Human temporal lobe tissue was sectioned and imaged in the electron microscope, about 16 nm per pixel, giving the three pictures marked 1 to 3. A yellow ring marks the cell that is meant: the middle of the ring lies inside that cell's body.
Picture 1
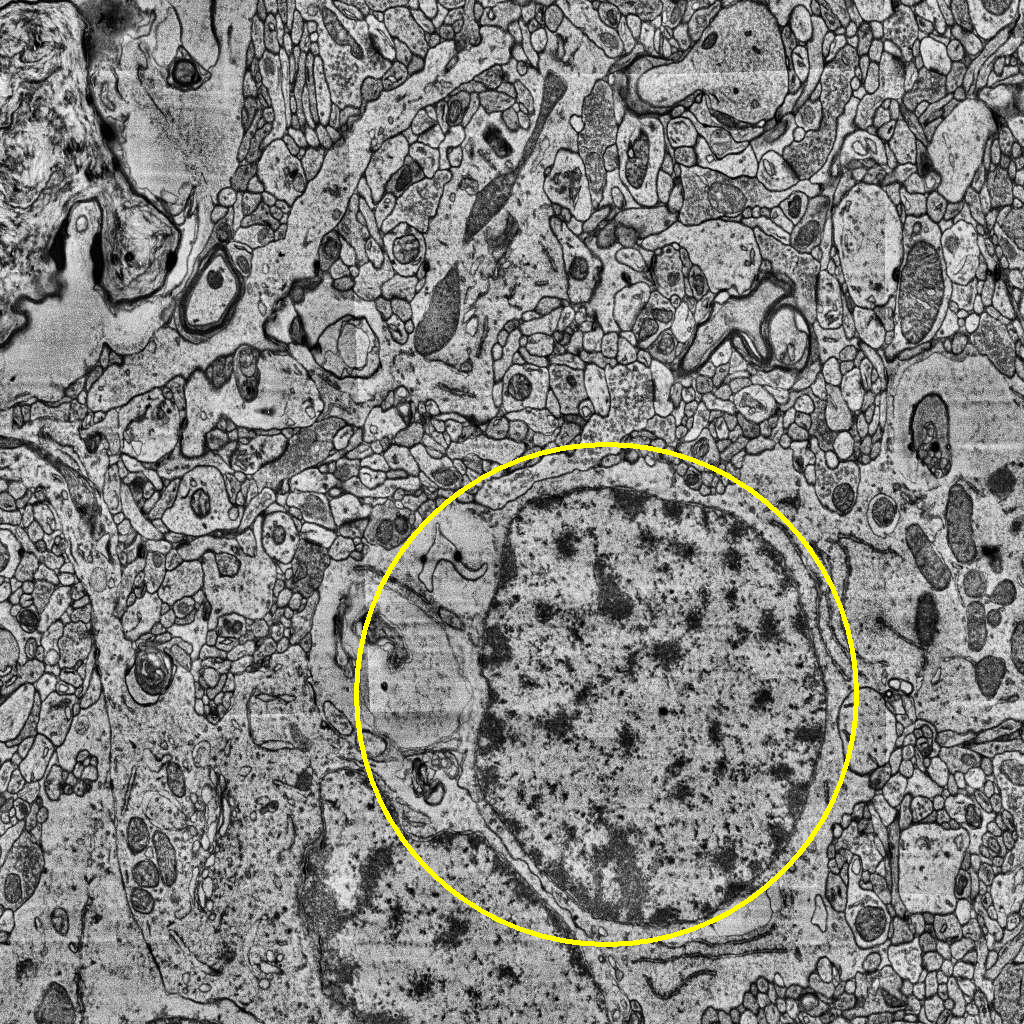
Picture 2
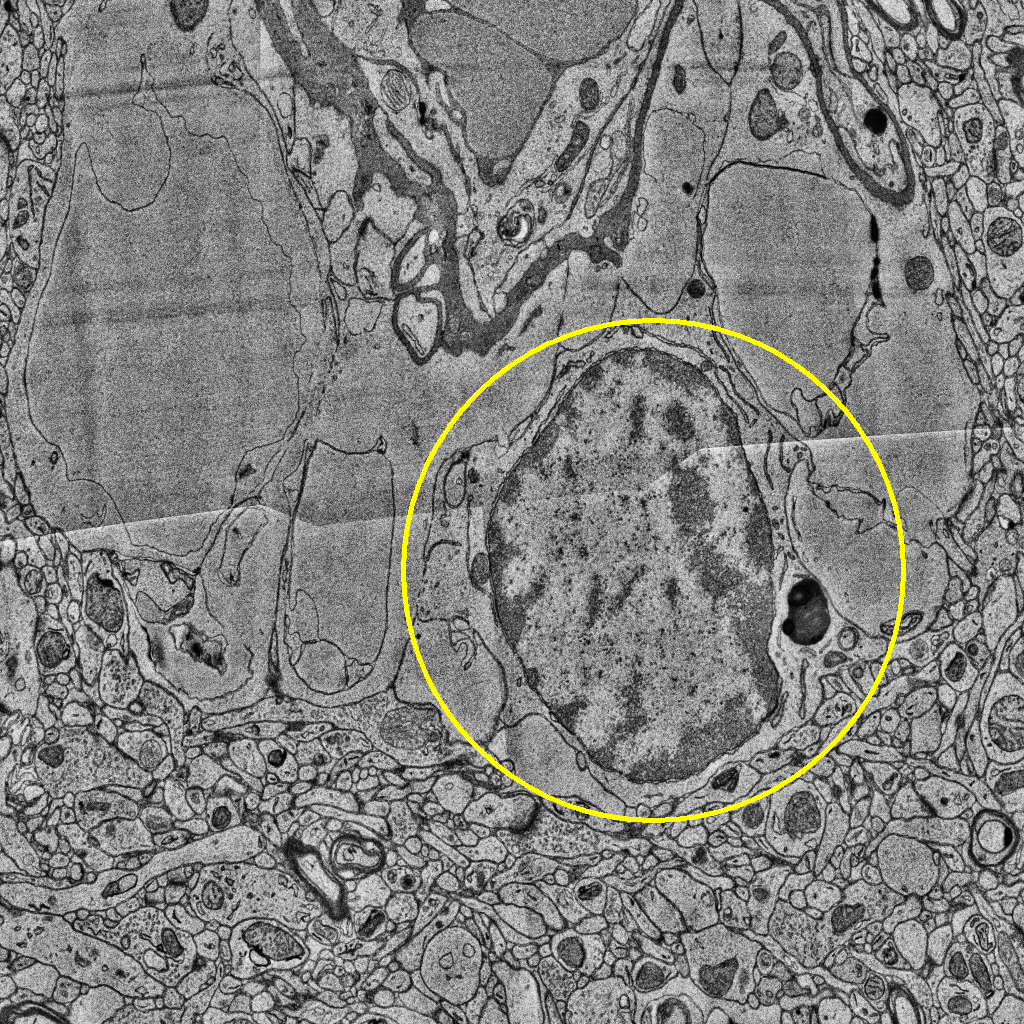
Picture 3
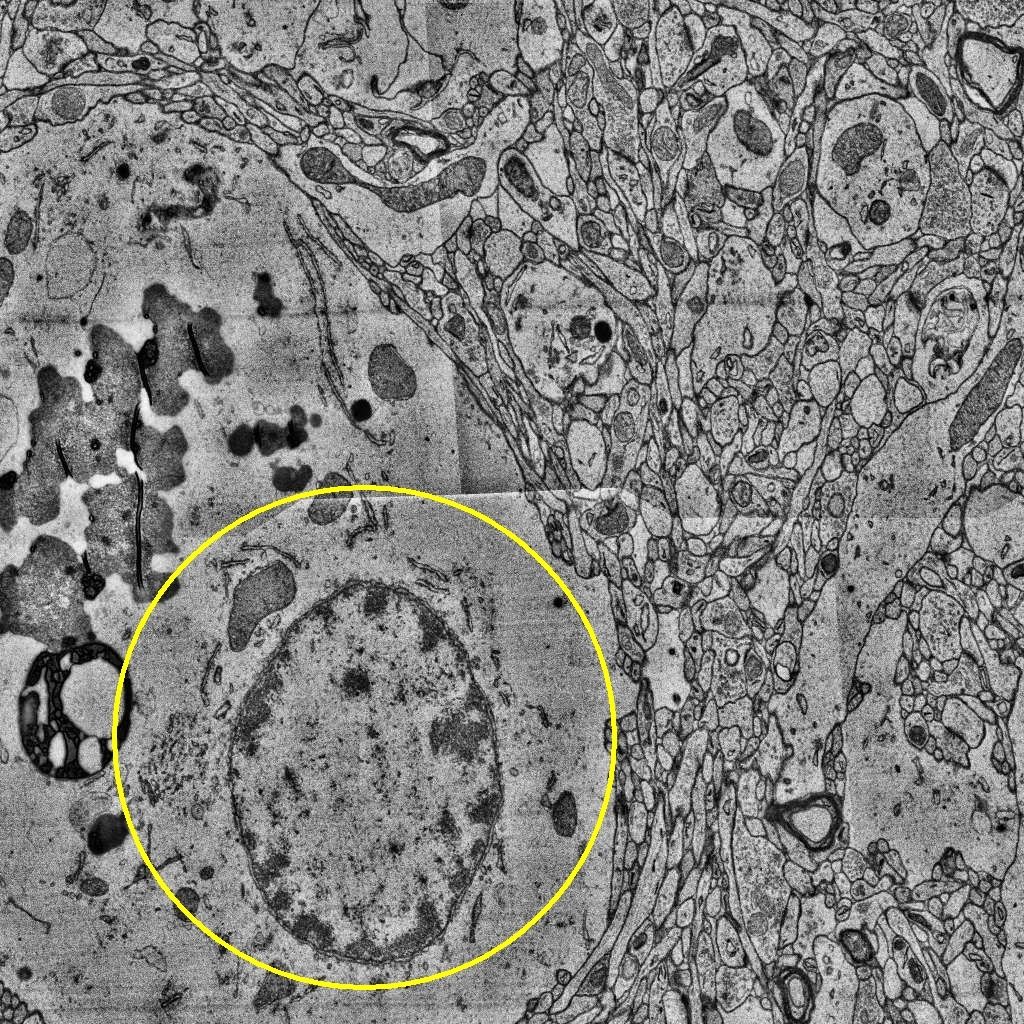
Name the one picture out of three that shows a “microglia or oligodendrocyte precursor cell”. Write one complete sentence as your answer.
Picture 2 shows the “microglia or oligodendrocyte precursor cell”.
